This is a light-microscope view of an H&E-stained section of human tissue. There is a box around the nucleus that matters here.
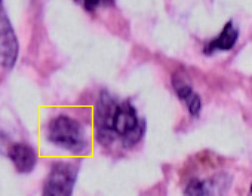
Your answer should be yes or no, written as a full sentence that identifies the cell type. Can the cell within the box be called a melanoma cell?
Yes, the cell type of the cell within the box is that of a melanoma cell.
